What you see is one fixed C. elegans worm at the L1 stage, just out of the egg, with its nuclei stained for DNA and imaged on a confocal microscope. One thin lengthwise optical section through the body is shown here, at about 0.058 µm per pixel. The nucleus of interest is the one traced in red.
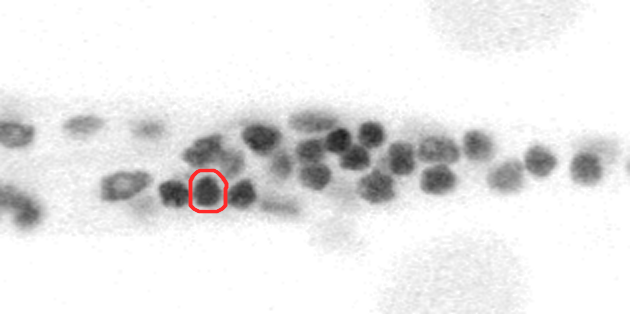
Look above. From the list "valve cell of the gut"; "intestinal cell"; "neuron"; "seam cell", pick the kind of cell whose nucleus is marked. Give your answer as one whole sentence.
It belongs to a neuron.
